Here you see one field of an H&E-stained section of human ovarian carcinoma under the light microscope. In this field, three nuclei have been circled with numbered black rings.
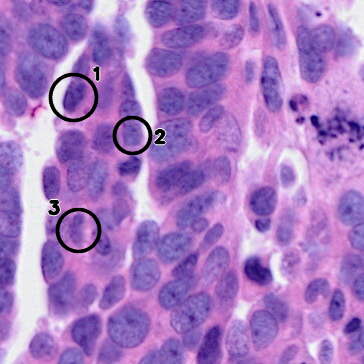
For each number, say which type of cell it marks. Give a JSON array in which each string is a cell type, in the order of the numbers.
["carcinoma cell", "carcinoma cell", "macrophage or monocyte"]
